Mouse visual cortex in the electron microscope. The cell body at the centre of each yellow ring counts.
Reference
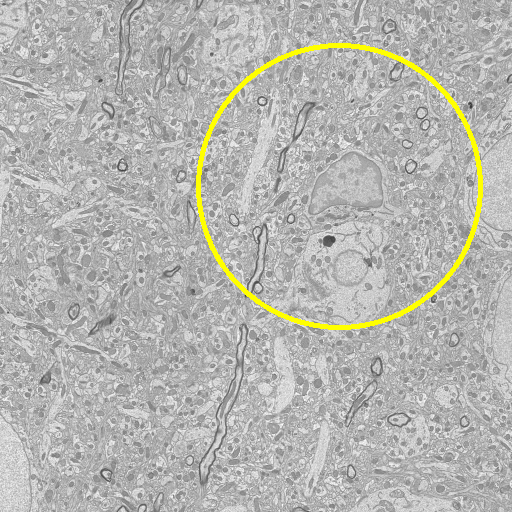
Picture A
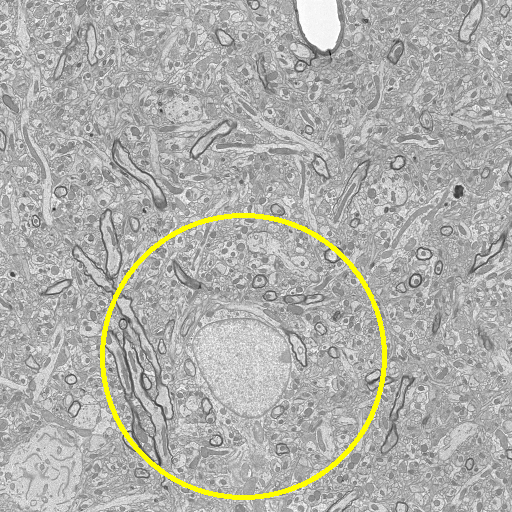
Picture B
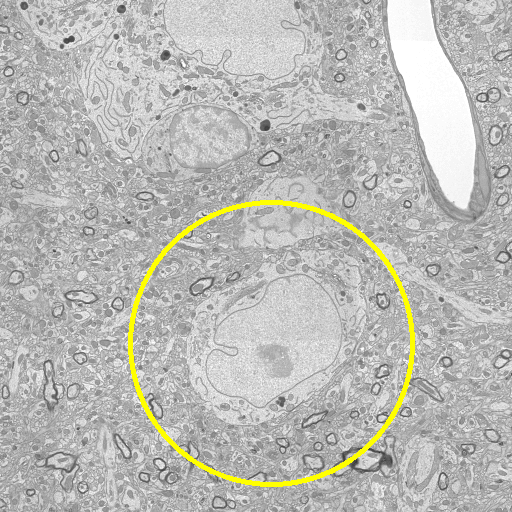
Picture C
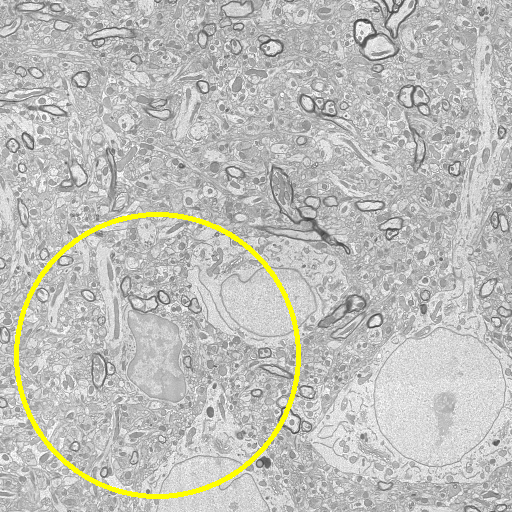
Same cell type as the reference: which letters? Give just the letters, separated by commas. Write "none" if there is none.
C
